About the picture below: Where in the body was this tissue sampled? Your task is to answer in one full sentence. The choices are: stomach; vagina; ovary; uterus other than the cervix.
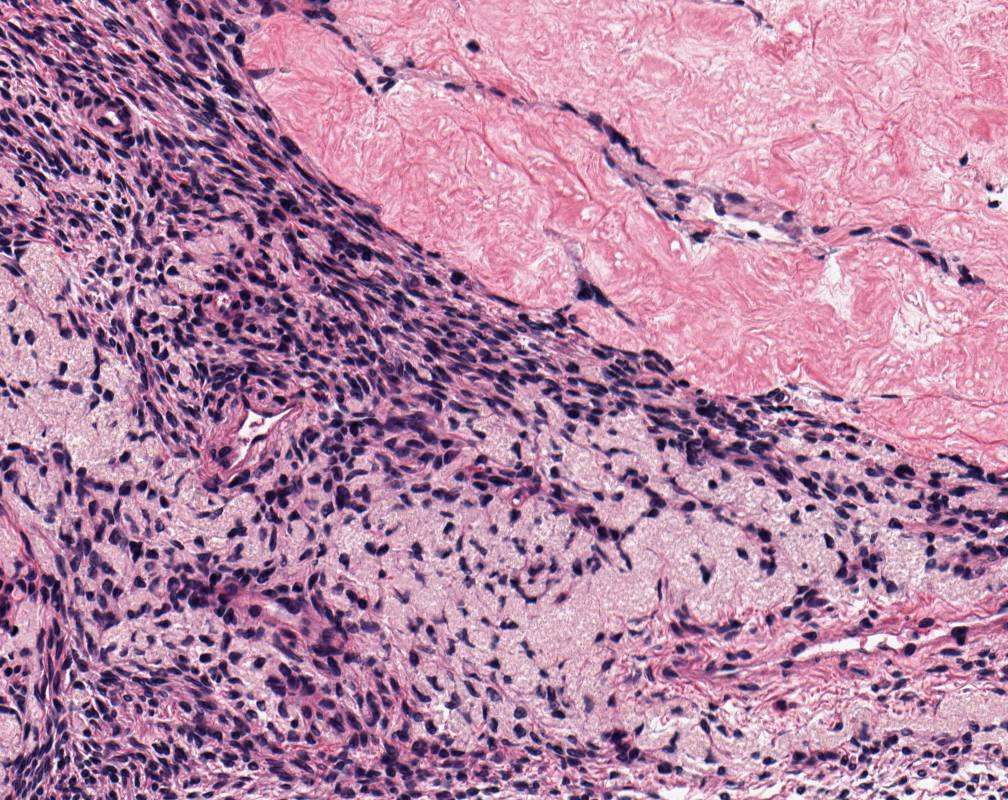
The sample was taken from the ovary.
